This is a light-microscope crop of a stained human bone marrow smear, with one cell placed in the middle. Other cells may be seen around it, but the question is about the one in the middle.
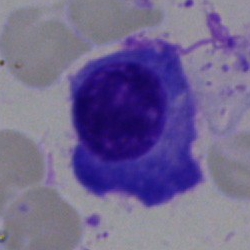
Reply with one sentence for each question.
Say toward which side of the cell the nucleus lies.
Toward the upper left of the cell lies its nucleus.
